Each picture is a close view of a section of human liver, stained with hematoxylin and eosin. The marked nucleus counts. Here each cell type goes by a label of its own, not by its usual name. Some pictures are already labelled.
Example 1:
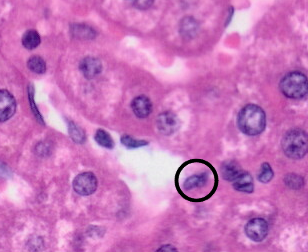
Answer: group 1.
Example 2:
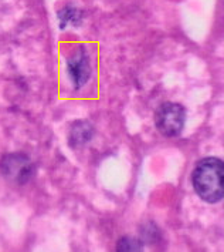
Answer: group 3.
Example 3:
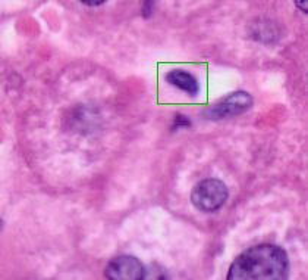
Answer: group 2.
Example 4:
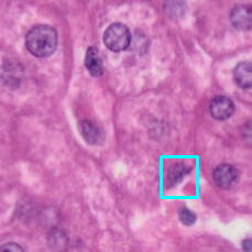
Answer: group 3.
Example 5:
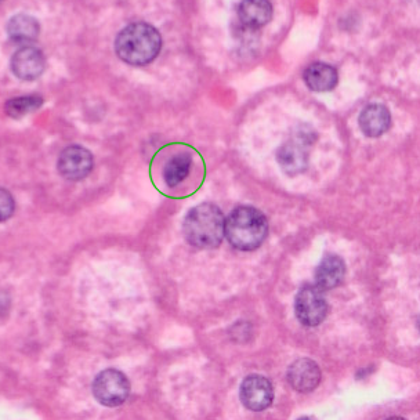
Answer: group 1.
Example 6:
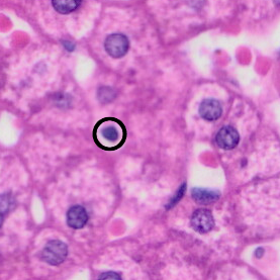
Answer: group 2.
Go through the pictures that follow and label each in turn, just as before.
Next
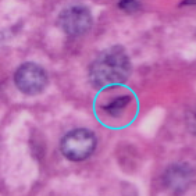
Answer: group 1.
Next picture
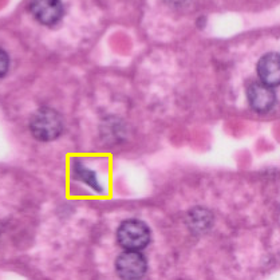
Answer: group 3.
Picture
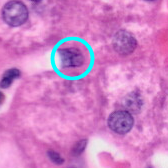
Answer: group 3.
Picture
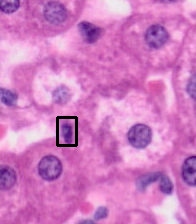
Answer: group 1.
